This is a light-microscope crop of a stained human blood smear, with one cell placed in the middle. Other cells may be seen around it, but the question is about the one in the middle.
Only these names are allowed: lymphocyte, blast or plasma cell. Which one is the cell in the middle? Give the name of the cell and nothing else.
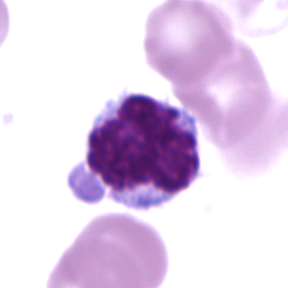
lymphocyte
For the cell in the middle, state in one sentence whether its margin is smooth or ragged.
Around its circumference, the cell has an uneven edge, ragged or projecting in places.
